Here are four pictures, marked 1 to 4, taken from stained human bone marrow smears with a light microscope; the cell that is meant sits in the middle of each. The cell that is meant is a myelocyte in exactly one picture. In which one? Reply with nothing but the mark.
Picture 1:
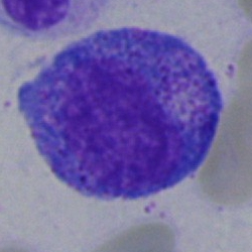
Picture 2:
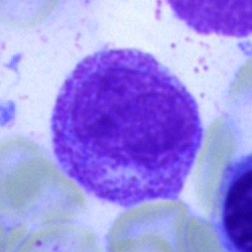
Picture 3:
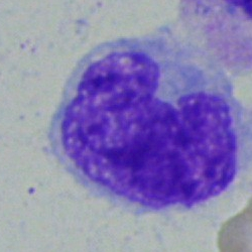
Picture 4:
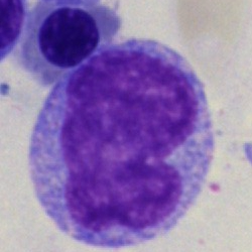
2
